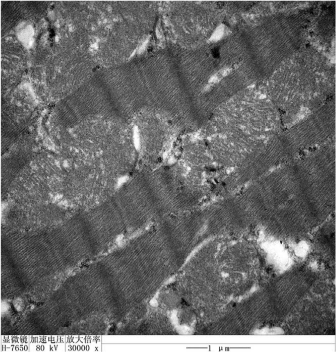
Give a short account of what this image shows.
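This is the ultrastructure of a cardiomyocyte with banded myofibrils alternating with rows of mitochondria. The mitochondria are pale with disrupted, sparse cristae, and white clear spaces lie within and between them, giving a vacuolated appearance.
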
